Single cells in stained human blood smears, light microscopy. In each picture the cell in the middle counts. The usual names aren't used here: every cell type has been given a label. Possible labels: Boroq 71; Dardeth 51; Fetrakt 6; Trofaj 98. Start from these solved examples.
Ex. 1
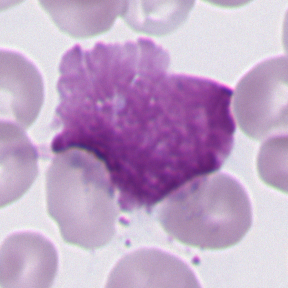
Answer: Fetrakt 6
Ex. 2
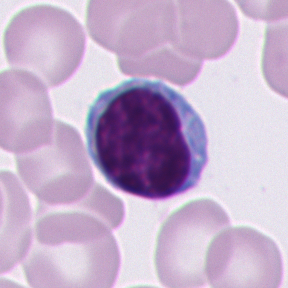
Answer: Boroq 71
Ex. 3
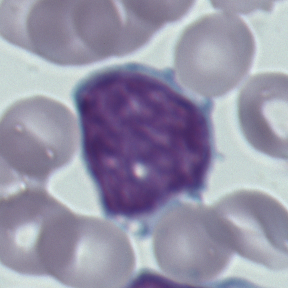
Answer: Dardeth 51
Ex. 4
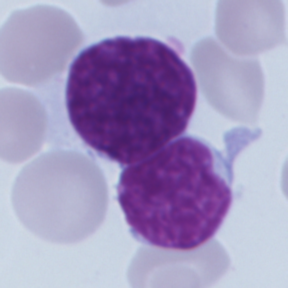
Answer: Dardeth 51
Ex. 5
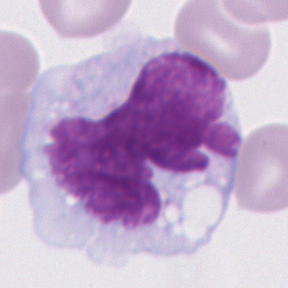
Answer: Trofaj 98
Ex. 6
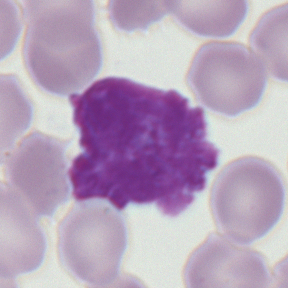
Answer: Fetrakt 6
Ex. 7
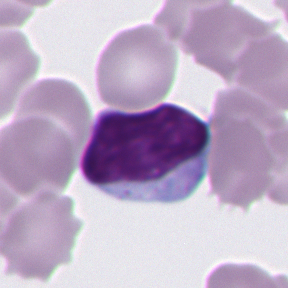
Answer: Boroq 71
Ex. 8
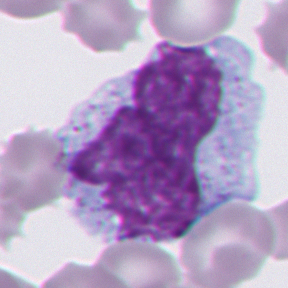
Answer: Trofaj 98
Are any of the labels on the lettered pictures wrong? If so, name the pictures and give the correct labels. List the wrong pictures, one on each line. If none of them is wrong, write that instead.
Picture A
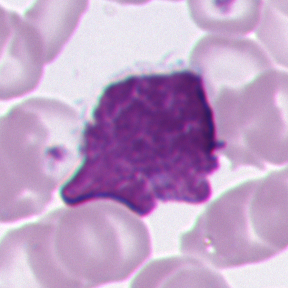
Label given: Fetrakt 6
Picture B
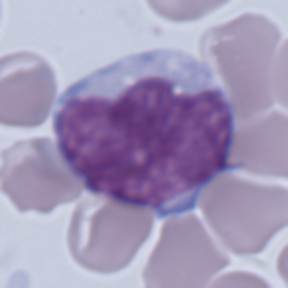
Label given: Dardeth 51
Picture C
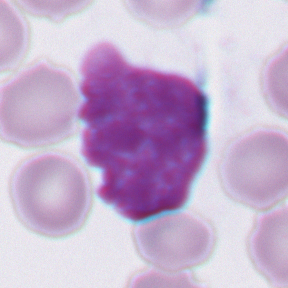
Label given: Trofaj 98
C: change Trofaj 98 to Fetrakt 6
